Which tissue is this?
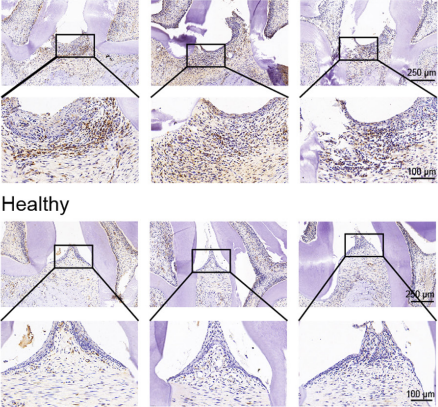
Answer: periodontal tissues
